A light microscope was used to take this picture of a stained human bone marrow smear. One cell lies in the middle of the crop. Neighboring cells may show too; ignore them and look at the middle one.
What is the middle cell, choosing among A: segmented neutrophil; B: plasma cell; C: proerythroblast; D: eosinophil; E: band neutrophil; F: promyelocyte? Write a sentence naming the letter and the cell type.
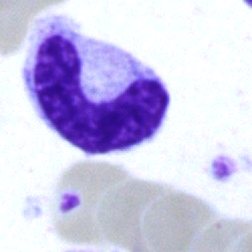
Of the options given, E is correct, the central cell being a band neutrophil.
